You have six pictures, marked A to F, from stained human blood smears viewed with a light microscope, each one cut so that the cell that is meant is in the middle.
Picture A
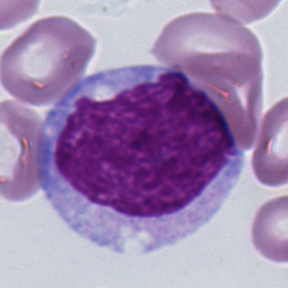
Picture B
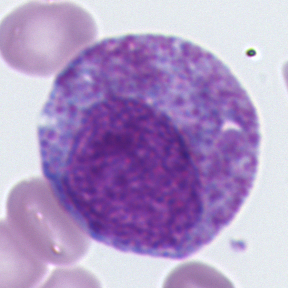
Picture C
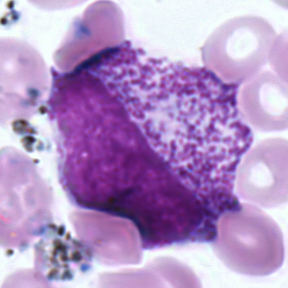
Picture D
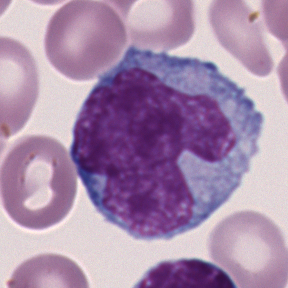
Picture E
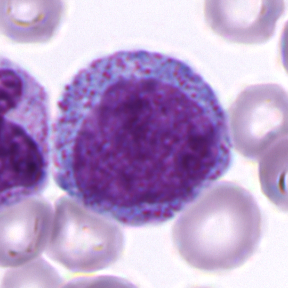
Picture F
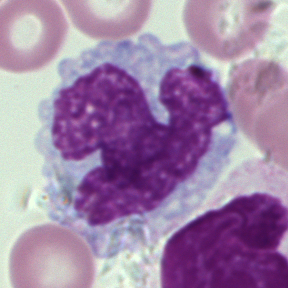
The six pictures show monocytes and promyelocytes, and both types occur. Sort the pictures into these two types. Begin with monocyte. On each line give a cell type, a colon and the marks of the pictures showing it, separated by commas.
monocyte: A, D, F
promyelocyte: B, C, E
